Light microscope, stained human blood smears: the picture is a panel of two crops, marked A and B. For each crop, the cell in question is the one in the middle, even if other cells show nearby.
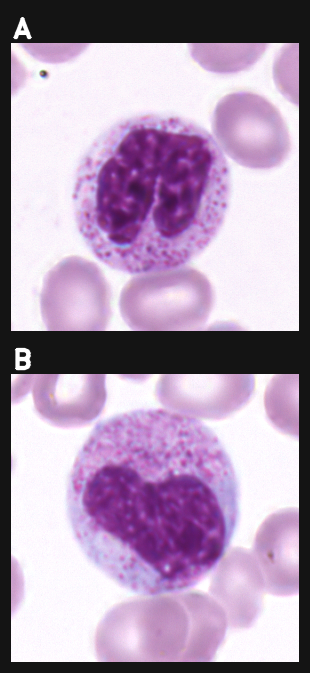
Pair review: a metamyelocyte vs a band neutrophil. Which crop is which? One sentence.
In this set, crop A is a band neutrophil and crop B is a metamyelocyte.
